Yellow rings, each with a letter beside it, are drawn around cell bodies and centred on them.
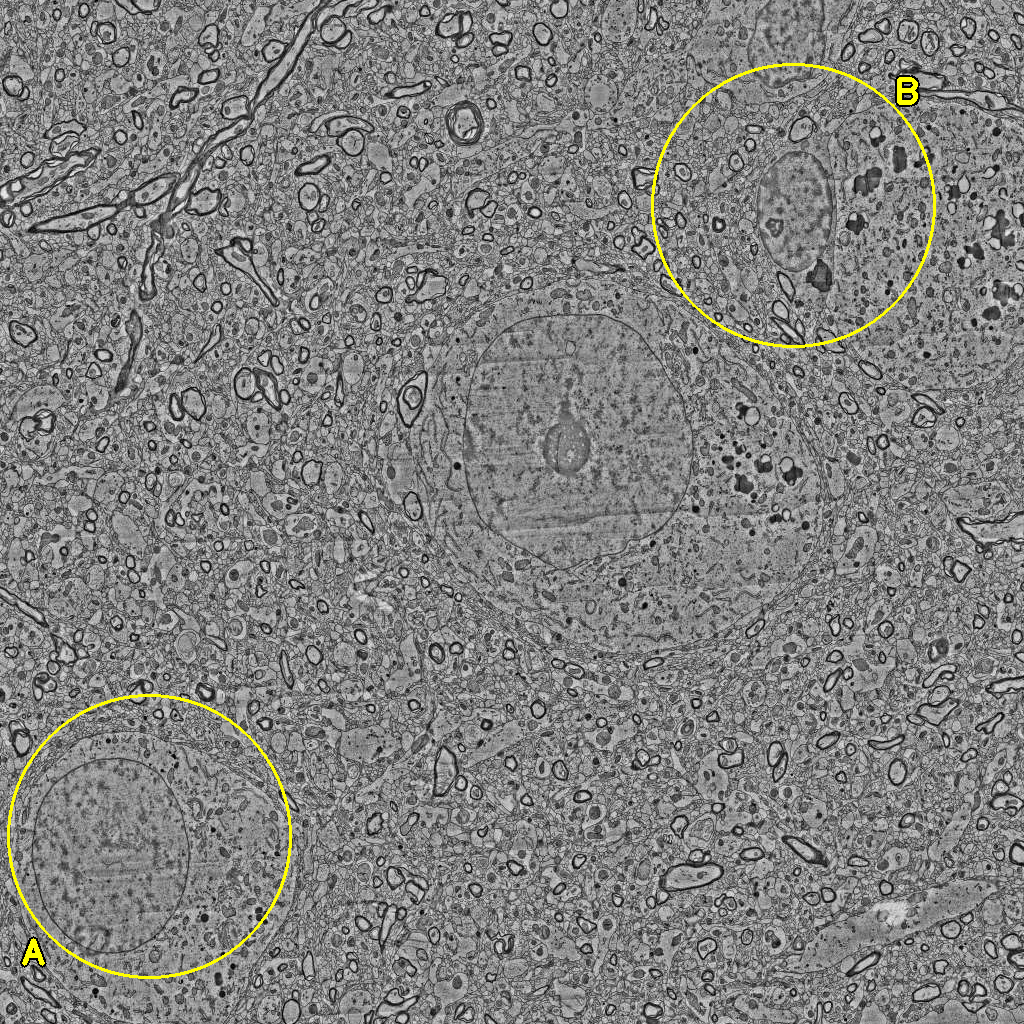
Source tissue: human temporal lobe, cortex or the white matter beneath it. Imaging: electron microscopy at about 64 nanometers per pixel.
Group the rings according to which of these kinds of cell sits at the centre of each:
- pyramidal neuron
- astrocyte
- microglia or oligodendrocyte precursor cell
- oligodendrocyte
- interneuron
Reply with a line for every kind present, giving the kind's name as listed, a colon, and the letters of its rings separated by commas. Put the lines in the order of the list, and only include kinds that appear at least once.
pyramidal neuron: A
oligodendrocyte: B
